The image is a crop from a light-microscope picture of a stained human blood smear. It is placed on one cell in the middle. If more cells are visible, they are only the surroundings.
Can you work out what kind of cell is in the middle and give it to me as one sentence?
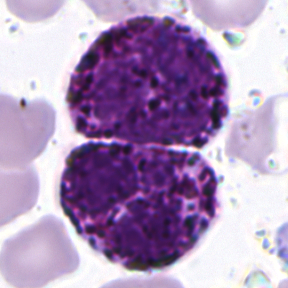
What sits at the centre of this crop is a basophil.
